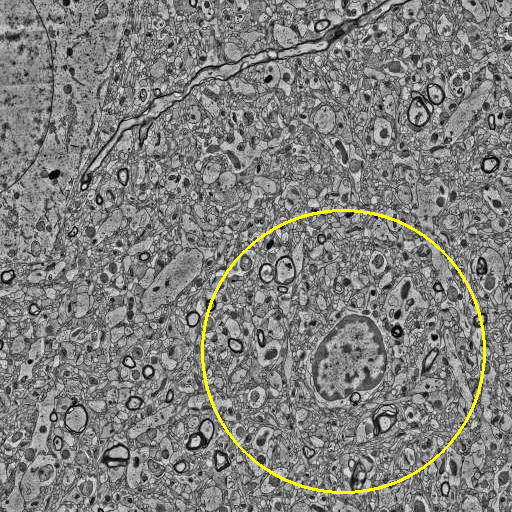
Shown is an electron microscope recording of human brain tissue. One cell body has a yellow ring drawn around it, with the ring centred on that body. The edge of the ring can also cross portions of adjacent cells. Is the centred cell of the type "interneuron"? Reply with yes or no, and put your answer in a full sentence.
No, in the picture, the cell on which the ring is centred has a different type.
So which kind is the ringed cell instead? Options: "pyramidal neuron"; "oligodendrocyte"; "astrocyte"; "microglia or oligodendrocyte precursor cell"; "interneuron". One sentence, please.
Instead, the ringed cell here is a microglial cell or oligodendrocyte precursor cell.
